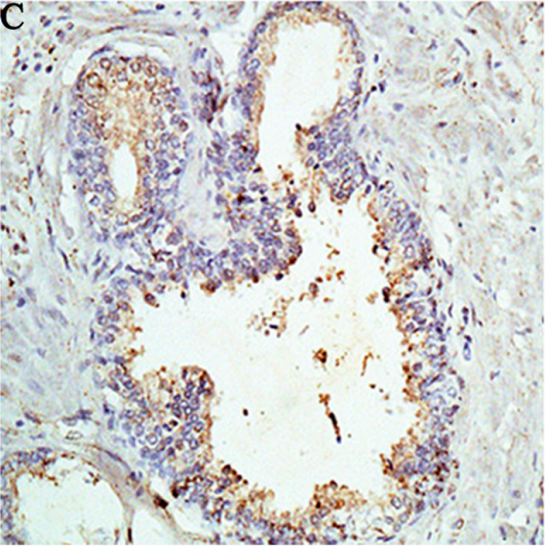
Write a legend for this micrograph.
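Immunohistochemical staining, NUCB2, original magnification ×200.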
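This is benign prostate tissue: large glands with wide open lumens and a folded lining of epithelial cells, set in loose fibromuscular stroma. The epithelium forms an orderly layer, a few cells thick, with small round to oval blue nuclei. Some brown flecks lie free within the lumen. The surrounding stroma is pale, with scattered elongated nuclei, and another gland appears at the lower corner.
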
